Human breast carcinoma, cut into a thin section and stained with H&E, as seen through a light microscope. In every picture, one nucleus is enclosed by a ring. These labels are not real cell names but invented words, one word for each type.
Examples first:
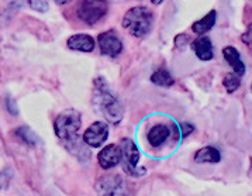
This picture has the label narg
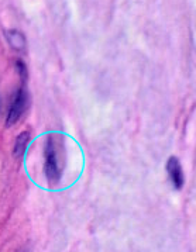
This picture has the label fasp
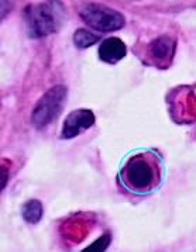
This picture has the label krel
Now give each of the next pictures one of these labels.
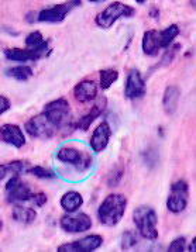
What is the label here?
narg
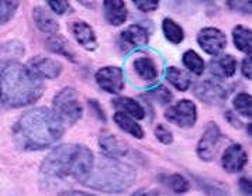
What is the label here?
narg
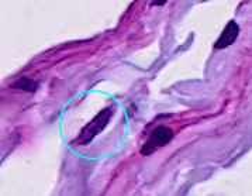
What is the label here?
fasp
